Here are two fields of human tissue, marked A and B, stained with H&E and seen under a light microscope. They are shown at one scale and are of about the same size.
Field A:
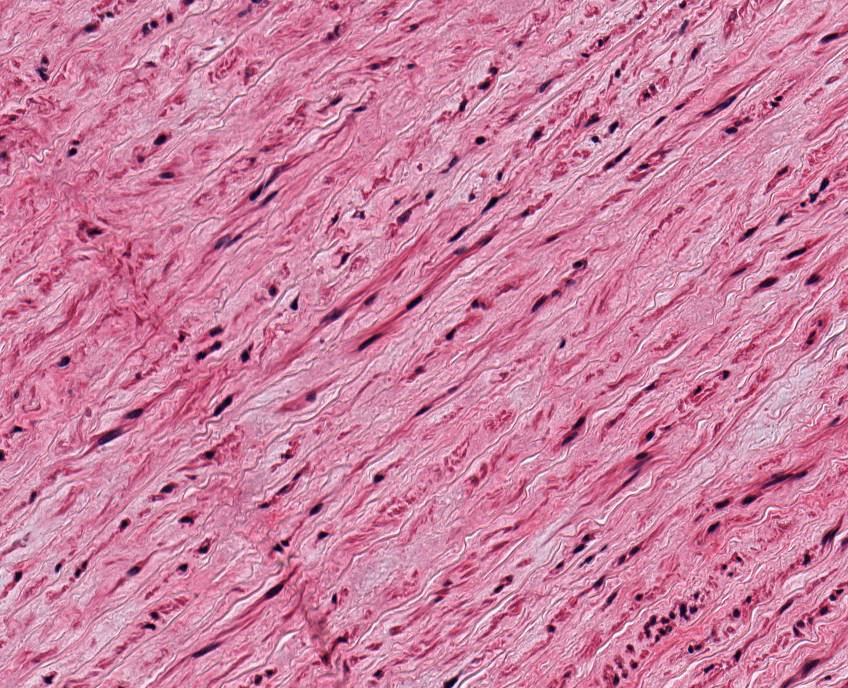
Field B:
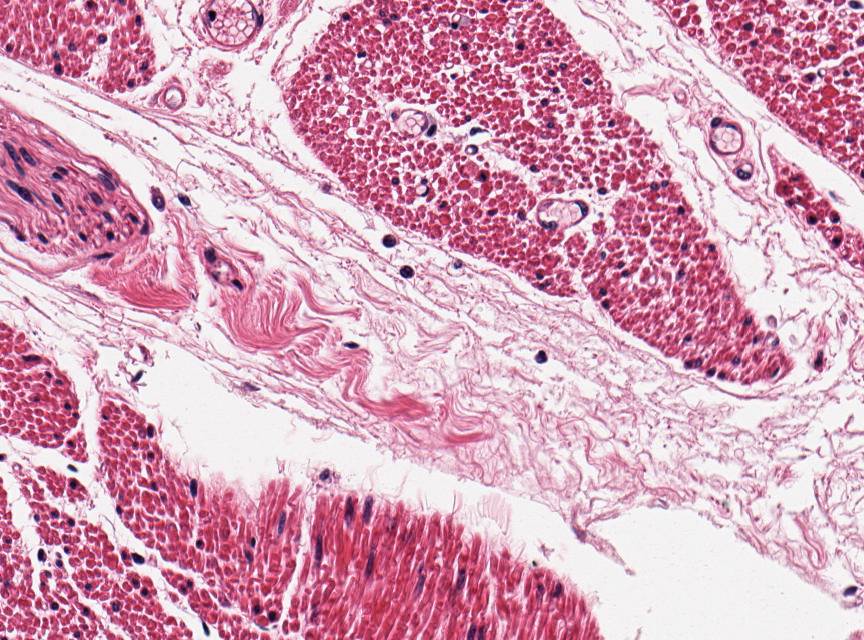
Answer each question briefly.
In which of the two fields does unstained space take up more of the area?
B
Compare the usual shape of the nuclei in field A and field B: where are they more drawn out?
A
